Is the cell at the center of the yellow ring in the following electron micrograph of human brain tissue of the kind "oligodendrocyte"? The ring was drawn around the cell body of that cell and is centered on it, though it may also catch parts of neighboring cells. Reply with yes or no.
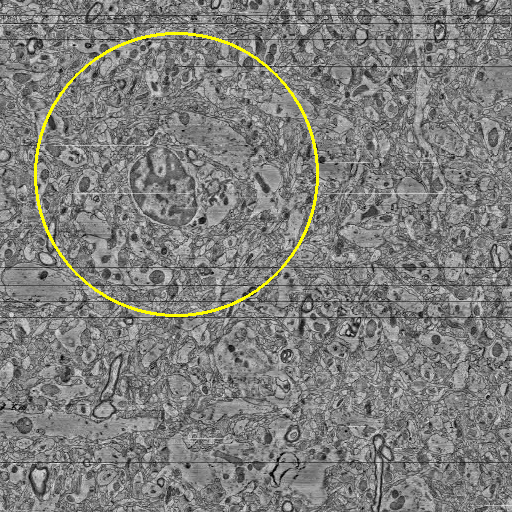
No, it is of another kind.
